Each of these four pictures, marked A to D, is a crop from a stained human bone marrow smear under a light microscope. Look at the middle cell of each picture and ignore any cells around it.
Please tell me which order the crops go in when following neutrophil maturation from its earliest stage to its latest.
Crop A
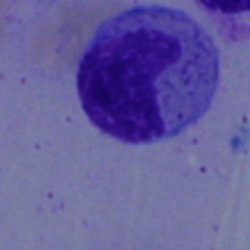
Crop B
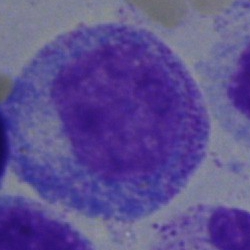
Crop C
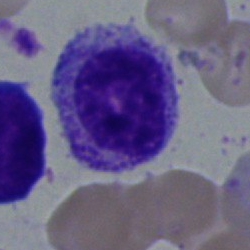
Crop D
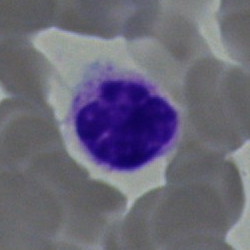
B, C, A, D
